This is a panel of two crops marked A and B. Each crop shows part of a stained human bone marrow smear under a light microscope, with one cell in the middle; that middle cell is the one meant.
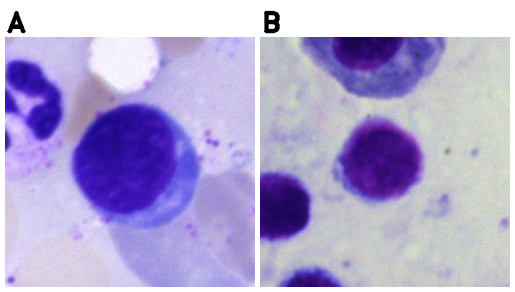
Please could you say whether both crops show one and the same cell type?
yes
